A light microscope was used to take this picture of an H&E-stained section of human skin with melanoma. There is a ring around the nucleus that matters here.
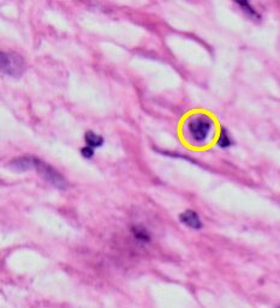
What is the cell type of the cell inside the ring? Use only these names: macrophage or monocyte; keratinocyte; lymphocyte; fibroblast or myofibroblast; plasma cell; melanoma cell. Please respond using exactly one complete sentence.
It is a lymphocyte that the cell inside the ring represents.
